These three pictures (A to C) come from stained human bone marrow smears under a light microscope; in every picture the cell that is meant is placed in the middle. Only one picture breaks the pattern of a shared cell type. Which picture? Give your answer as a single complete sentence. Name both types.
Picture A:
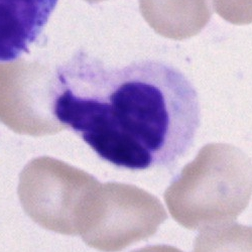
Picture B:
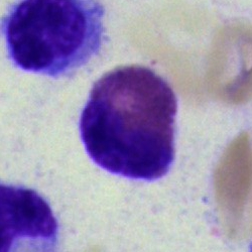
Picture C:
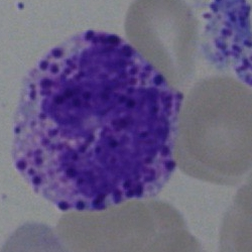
The different one is picture A; it shows a segmented neutrophil, whereas all the others show basophils.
